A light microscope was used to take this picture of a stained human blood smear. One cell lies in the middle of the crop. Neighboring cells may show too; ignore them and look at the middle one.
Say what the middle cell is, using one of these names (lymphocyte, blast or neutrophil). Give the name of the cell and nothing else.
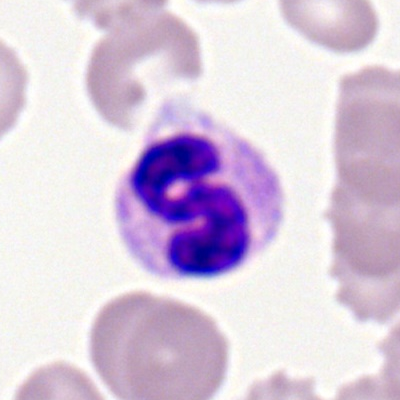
neutrophil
